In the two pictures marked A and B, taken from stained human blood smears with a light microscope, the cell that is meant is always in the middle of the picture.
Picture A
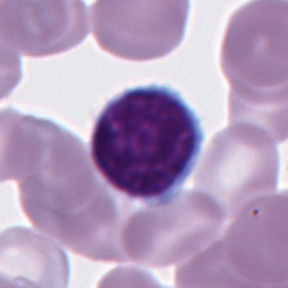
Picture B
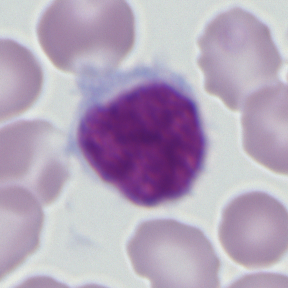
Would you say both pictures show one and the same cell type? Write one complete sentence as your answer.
No; the cell in picture A is a typical lymphocyte, while the one in picture B is a hairy cell.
